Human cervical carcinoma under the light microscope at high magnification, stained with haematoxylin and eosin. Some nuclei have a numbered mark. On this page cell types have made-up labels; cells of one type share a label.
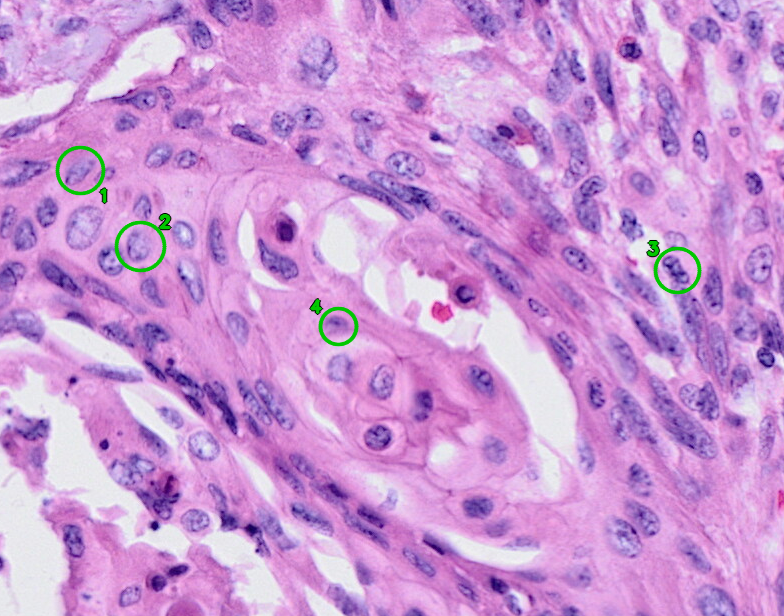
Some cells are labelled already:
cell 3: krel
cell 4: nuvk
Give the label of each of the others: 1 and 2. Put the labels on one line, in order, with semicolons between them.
nuvk; nuvk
